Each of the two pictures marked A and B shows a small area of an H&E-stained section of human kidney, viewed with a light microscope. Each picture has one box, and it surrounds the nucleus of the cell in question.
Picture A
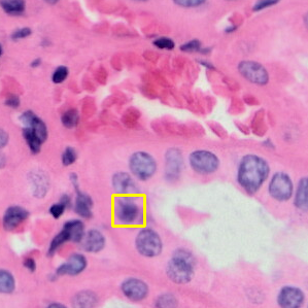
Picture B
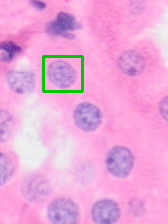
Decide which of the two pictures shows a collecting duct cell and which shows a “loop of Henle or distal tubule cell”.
A: collecting duct cell
B: loop of Henle or distal tubule cell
